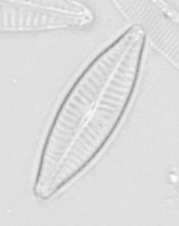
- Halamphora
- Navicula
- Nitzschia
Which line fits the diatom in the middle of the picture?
Navicula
